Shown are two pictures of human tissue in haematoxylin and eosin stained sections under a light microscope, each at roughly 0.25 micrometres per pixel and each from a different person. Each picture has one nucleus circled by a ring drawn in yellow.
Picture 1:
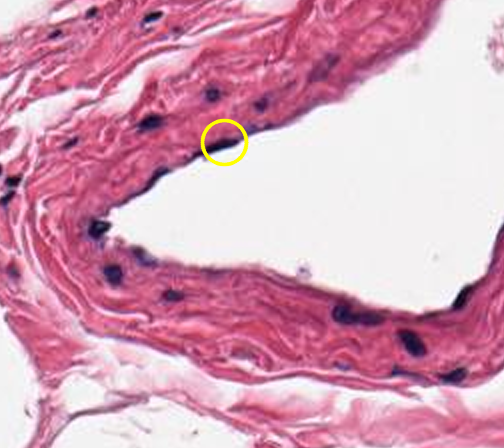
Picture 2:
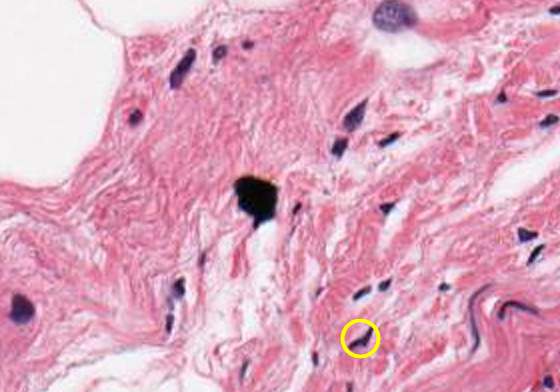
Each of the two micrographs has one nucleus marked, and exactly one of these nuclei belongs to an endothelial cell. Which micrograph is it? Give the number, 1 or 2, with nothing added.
1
